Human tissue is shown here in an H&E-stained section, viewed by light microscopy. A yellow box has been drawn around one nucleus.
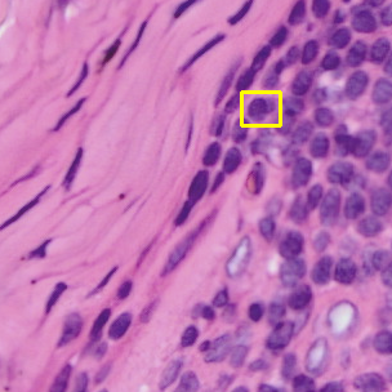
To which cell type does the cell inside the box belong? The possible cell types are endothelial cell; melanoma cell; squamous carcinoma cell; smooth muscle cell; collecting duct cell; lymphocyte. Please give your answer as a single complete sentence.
In this preparation, the cell inside the box is a lymphocyte.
